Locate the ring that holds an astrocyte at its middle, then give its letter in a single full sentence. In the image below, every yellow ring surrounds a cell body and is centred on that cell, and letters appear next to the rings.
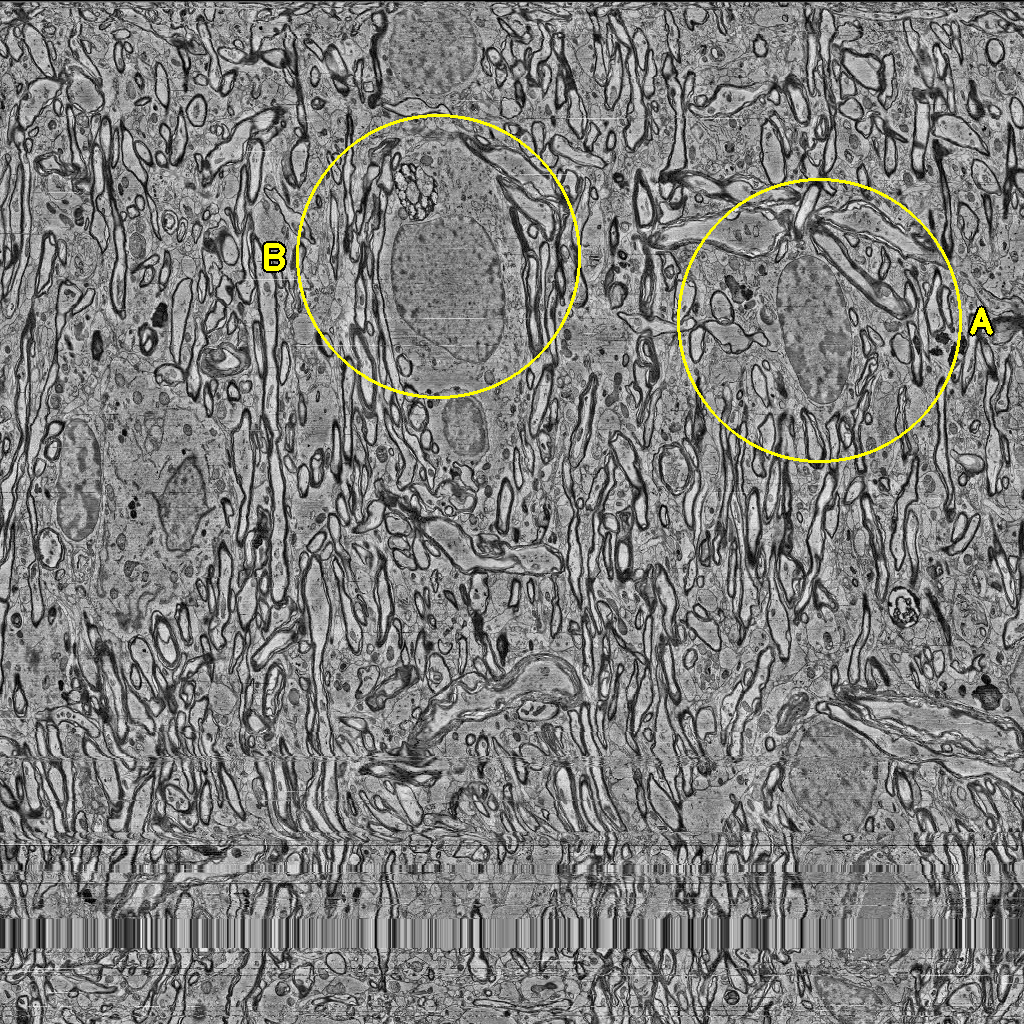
Ring B is the one centred on that kind of cell in the image.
